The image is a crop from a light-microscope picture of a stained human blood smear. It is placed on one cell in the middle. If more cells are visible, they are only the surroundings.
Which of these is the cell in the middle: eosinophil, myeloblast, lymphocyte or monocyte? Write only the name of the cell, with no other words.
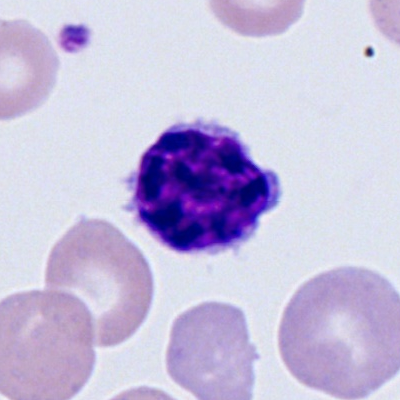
lymphocyte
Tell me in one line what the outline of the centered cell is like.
Its surface contour departs from smoothness through ragged edges or outward projections.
